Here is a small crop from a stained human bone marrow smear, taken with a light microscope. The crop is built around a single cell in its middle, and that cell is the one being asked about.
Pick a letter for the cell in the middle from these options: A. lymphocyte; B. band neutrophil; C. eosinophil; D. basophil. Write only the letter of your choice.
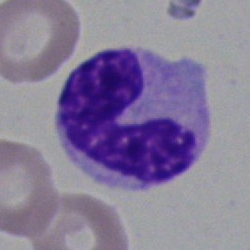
B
